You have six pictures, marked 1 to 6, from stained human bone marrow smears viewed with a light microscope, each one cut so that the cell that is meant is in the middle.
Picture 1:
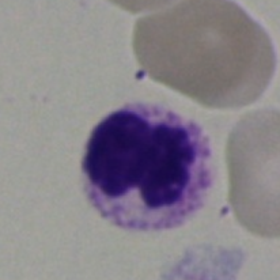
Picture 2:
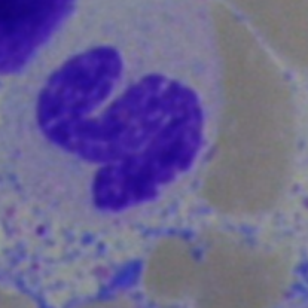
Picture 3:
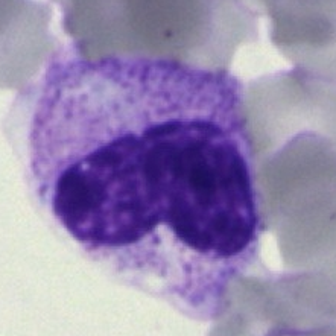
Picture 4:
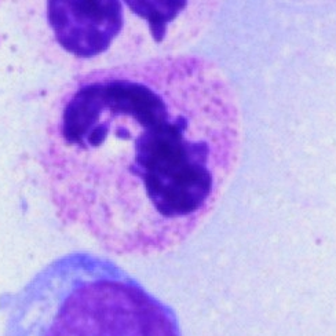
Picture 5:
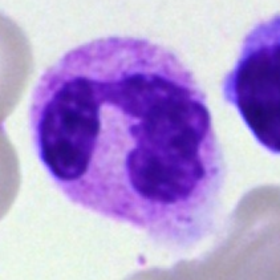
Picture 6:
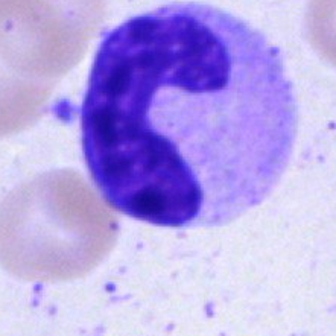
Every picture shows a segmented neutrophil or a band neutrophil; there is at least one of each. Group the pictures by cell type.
1: segmented neutrophil
2: band neutrophil
3: band neutrophil
4: segmented neutrophil
5: segmented neutrophil
6: band neutrophil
